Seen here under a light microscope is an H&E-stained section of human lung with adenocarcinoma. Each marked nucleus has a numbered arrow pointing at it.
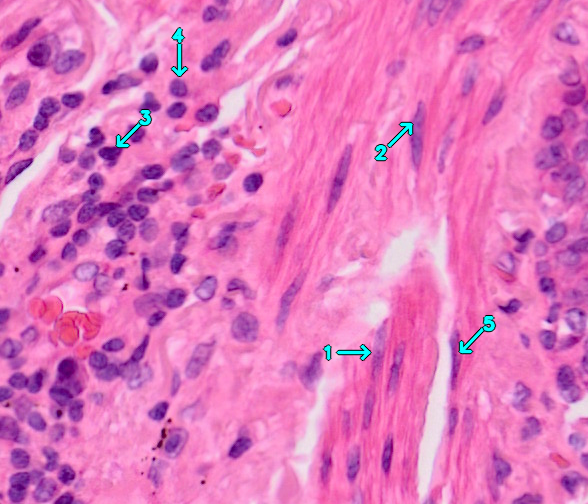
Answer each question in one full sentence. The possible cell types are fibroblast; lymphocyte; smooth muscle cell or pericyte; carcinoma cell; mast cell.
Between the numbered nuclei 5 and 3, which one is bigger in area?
Nucleus 5 is larger, with an area about 1.5 times that of nucleus 3.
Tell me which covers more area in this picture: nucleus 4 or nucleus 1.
Nucleus 1 covers more area, about 2 times as much as nucleus 4.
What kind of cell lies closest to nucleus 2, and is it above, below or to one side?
A smooth muscle cell or pericyte lies closest, below nucleus 2.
